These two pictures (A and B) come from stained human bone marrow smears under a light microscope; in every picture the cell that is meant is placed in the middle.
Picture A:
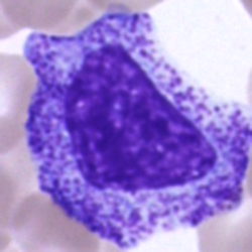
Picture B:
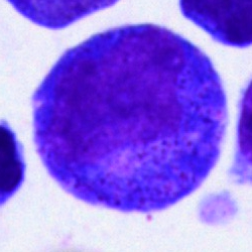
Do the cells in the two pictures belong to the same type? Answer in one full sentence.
No. Picture A shows a myelocyte, but picture B shows a promyelocyte.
